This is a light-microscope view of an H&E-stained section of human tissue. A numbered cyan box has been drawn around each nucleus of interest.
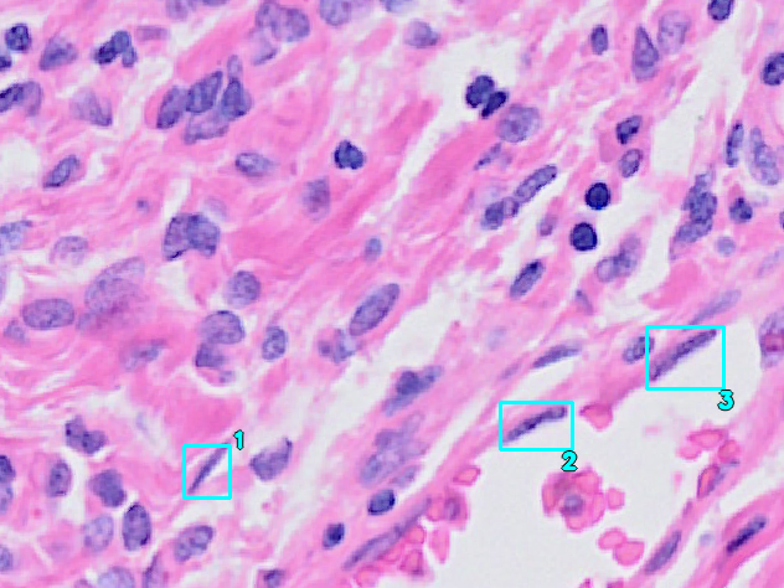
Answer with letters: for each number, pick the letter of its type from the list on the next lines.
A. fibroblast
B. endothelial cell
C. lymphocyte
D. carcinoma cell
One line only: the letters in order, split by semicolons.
A; B; B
